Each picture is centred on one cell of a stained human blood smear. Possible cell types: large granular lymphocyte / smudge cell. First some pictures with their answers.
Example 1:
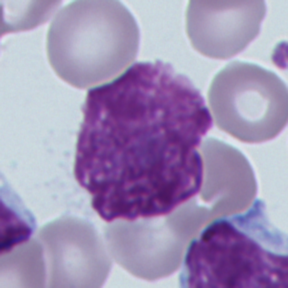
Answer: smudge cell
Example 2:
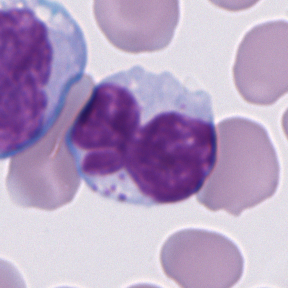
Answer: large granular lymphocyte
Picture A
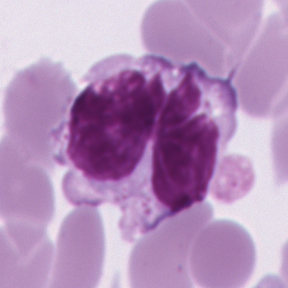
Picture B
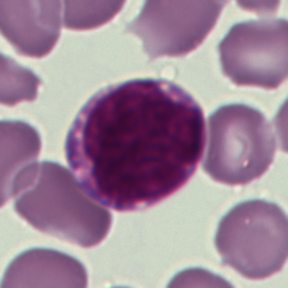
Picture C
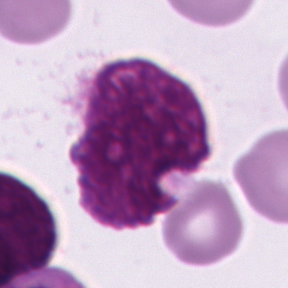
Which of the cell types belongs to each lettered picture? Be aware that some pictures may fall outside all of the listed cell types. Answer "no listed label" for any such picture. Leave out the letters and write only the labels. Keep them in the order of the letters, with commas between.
large granular lymphocyte, no listed label, smudge cell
